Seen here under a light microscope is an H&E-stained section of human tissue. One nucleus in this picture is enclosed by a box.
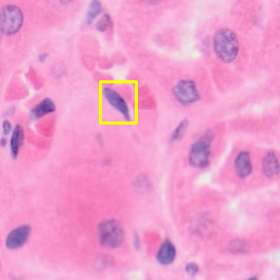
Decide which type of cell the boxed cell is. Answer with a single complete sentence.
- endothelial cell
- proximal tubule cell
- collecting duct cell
Histopathologically, the boxed cell is an endothelial cell.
